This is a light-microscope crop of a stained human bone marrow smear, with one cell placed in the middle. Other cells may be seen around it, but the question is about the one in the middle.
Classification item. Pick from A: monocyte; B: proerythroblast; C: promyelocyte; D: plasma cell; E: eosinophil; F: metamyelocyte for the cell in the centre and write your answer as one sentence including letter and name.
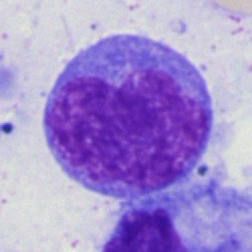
The cell centred in the crop is a monocyte, and the correct option is thus A.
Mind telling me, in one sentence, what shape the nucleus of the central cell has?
Just one compact nuclear mass here, round, oval or kidney-shaped.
